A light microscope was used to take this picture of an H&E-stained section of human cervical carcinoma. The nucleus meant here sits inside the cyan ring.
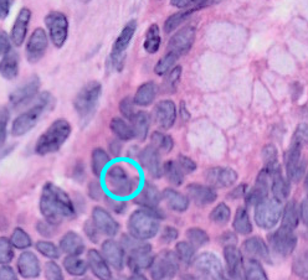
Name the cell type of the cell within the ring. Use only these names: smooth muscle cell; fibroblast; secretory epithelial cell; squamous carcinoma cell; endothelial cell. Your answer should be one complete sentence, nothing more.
Labelled by cell type, the cell within the ring is a secretory epithelial cell.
